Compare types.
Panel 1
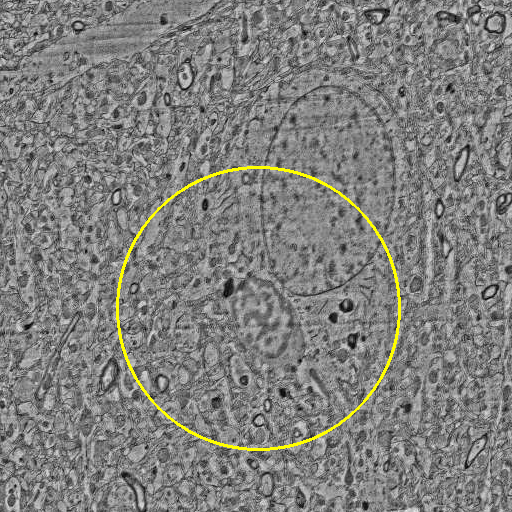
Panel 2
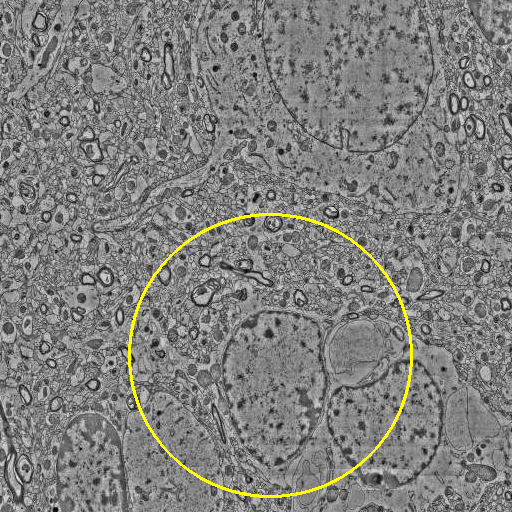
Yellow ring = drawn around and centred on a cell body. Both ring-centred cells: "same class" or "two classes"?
two classes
